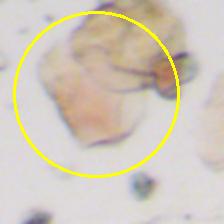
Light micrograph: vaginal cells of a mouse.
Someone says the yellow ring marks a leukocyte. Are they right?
They are not: the ring marks a cornified epithelial cell.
